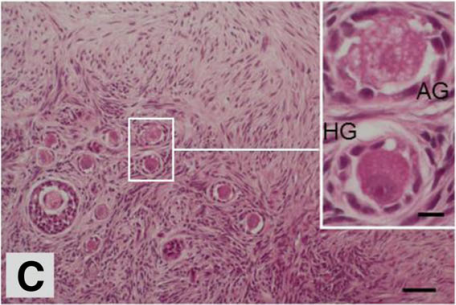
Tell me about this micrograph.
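Ovarian cortex with numerous follicles scattered in a dense stroma of spindle-shaped cells with elongated dark nuclei. Each follicle holds a large round pink oocyte ringed by a single layer of granulosa cells with dark round to oval nuclei; one larger follicle at left has several layers of such cells. In the enlarged inset one follicle's oocyte appears mottled and pale, the other's compact and deep pink.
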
